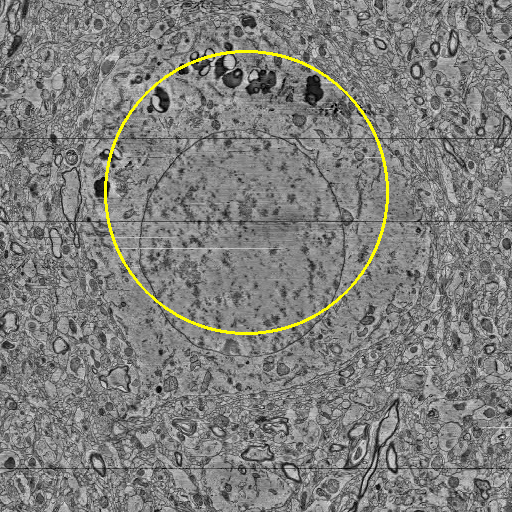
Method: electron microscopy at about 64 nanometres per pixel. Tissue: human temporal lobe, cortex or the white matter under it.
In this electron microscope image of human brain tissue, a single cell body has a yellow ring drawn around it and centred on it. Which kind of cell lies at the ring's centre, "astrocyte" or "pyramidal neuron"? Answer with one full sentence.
It is a pyramidal neuron whose cell body lies at the centre of the yellow ring here.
